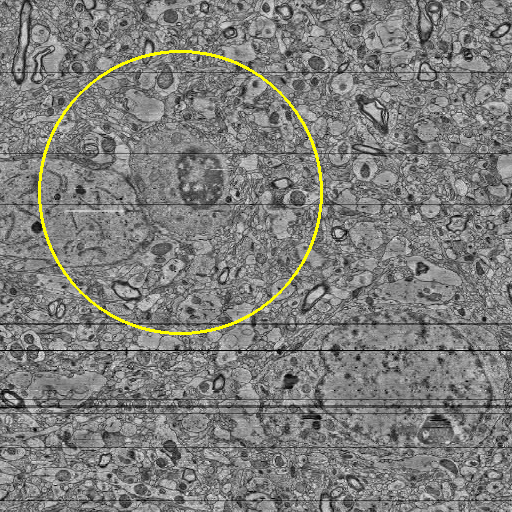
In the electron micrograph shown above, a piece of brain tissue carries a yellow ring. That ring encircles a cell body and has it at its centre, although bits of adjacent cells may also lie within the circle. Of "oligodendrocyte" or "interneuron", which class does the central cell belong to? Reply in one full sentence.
The cell body at the centre of the yellow ring belongs to an oligodendrocyte.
